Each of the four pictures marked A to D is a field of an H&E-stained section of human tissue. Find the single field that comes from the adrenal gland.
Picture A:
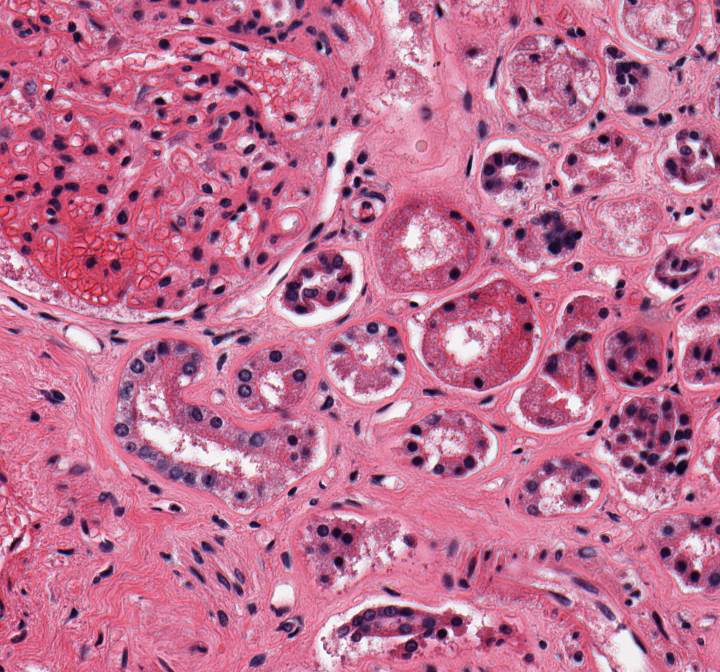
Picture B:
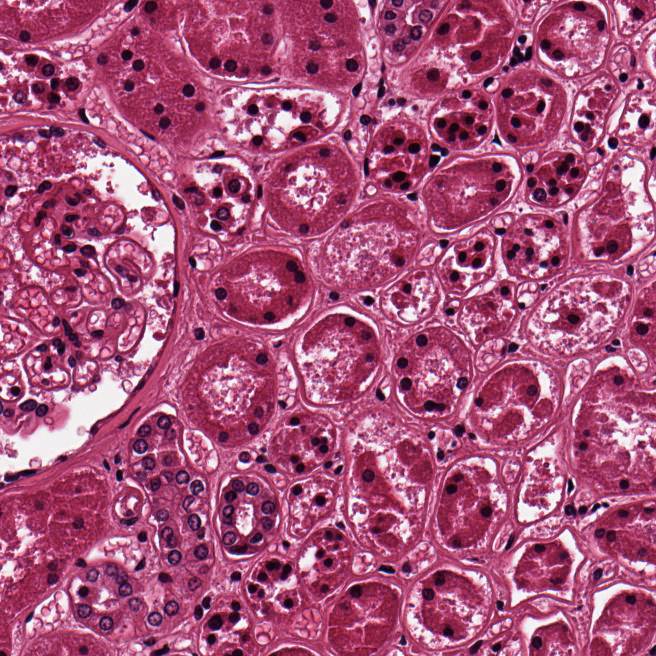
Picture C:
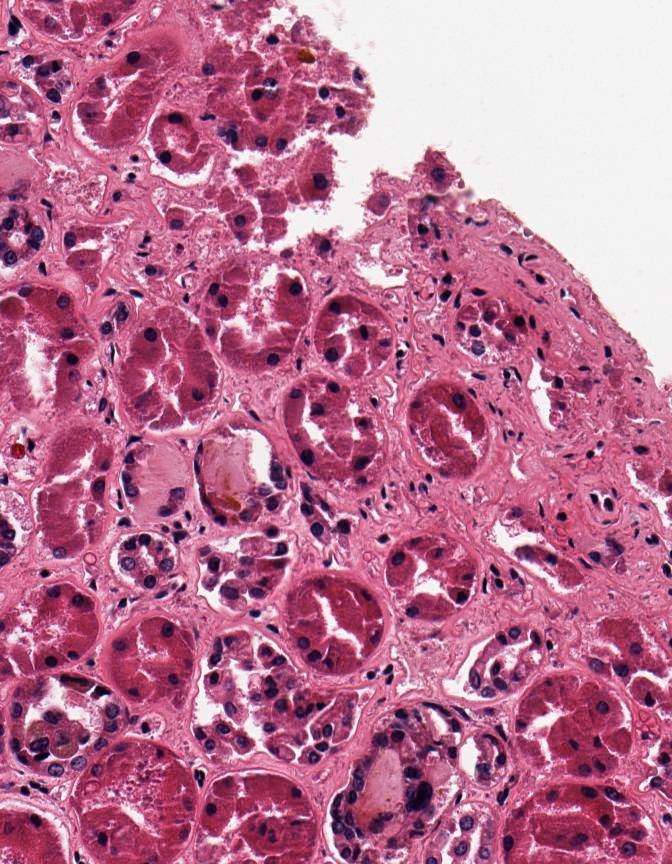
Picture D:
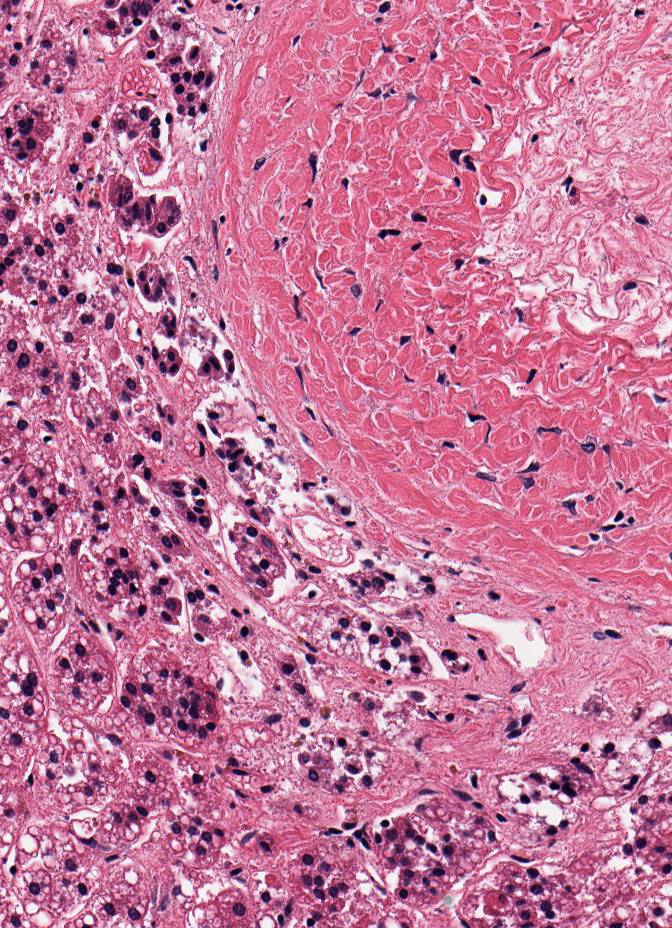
D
